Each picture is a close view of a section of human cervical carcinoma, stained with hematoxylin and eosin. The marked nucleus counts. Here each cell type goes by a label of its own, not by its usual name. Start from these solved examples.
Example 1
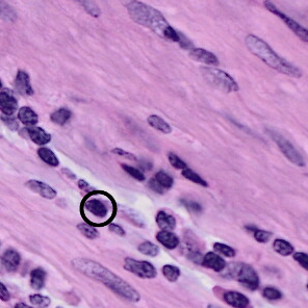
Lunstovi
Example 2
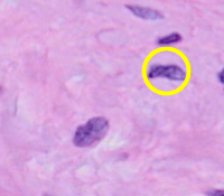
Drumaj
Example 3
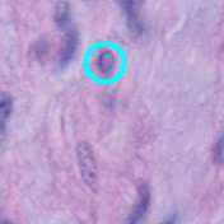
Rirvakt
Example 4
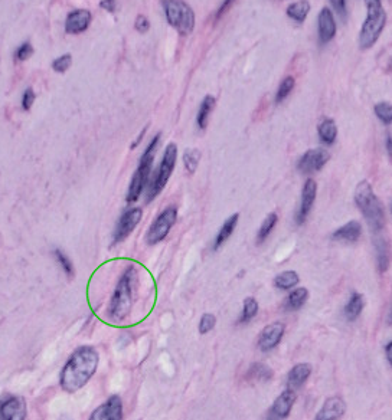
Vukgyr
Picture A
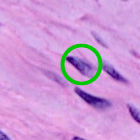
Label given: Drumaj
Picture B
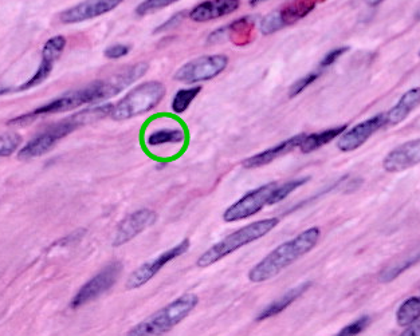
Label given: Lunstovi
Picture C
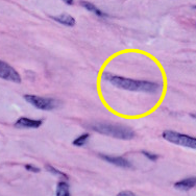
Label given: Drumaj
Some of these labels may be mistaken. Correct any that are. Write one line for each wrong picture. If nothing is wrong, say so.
All labels are correct.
